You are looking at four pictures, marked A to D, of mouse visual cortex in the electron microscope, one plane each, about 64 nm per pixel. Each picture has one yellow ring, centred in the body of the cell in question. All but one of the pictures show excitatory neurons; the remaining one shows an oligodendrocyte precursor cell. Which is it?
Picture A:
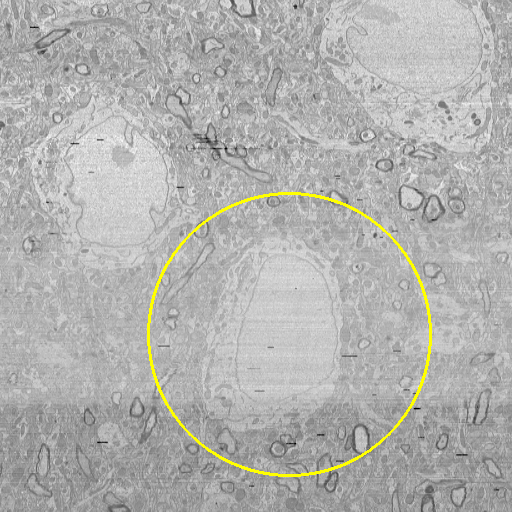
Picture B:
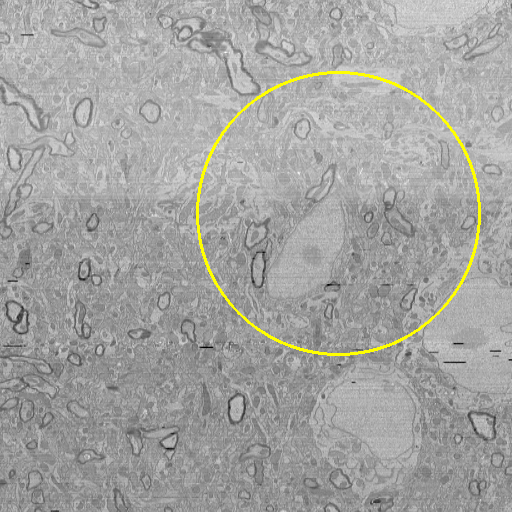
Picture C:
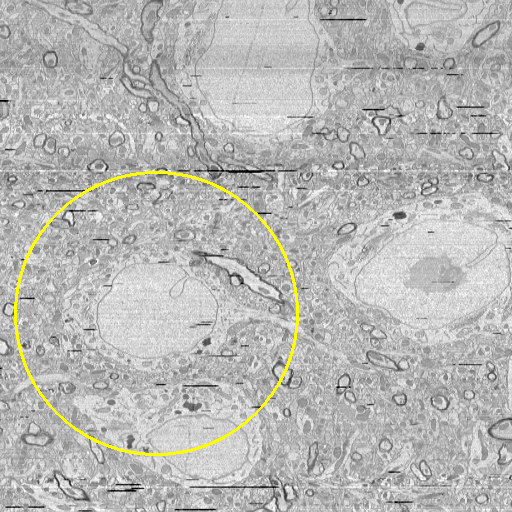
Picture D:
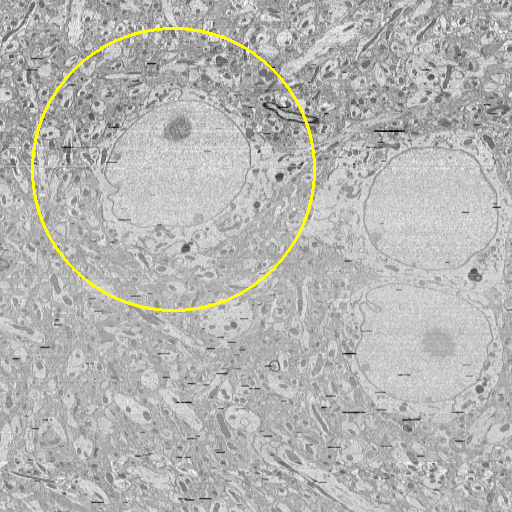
Picture B shows the oligodendrocyte precursor cell.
